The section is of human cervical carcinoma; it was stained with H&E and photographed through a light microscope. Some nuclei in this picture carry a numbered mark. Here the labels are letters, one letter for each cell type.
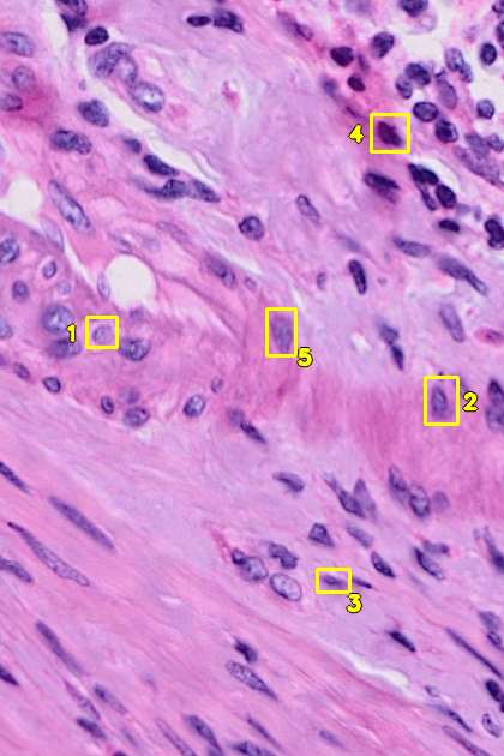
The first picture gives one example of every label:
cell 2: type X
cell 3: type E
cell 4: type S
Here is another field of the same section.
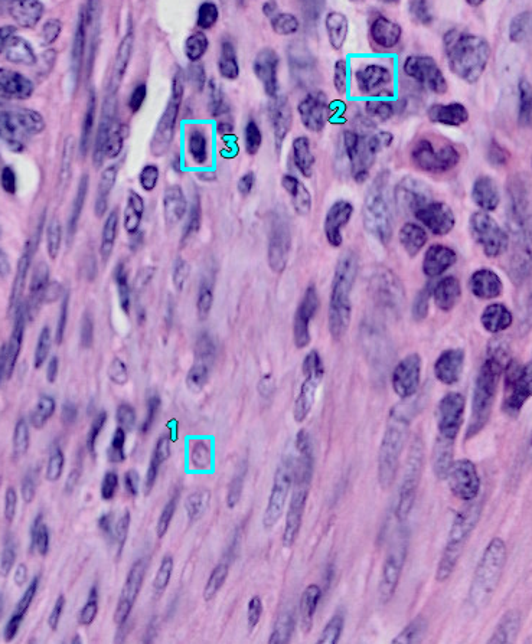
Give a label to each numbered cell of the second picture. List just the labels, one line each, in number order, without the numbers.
type X
type S
type S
